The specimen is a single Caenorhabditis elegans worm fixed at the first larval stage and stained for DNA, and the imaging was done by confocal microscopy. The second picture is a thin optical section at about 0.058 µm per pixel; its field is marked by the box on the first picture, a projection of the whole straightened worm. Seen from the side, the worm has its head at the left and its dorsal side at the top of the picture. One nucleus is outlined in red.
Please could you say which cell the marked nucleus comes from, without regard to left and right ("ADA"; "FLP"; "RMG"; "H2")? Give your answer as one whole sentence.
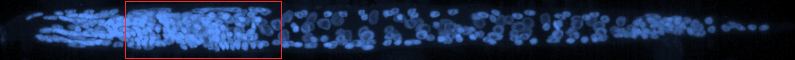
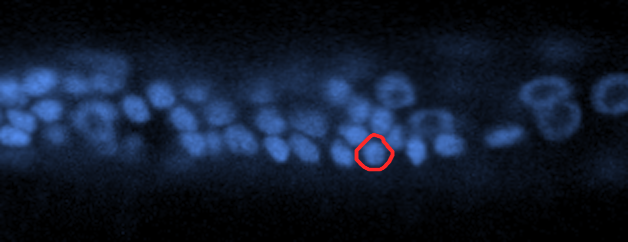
The nucleus is from FLP, a neuron.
